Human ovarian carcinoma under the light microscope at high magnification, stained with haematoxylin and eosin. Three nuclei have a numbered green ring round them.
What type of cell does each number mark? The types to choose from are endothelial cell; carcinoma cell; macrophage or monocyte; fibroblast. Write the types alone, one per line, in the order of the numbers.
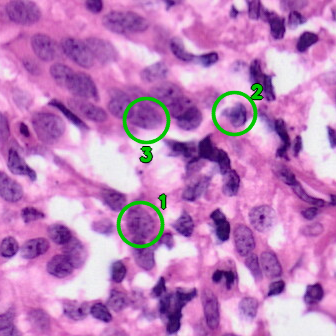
carcinoma cell
macrophage or monocyte
carcinoma cell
